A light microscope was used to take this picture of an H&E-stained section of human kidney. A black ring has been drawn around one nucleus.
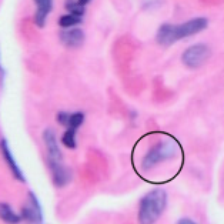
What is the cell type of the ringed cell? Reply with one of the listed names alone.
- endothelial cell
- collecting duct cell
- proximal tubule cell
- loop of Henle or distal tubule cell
endothelial cell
